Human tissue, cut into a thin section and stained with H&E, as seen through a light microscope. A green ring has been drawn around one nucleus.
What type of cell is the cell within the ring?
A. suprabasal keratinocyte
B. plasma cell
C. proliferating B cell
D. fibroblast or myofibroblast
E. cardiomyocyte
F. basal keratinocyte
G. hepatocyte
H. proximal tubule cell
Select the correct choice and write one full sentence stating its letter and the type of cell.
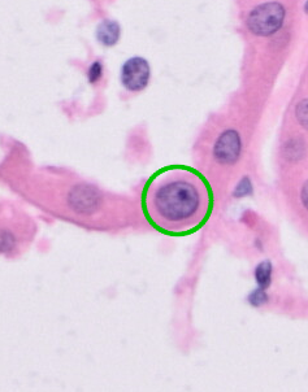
The correct option here, H, identifies the cell within the ring as a proximal tubule cell.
